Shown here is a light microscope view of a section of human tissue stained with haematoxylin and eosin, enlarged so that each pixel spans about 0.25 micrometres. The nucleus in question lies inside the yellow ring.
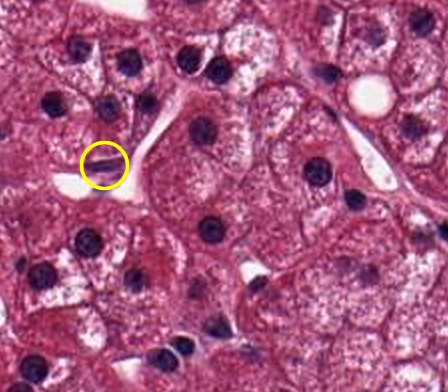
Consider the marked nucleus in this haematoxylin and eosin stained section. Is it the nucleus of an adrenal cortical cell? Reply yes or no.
no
